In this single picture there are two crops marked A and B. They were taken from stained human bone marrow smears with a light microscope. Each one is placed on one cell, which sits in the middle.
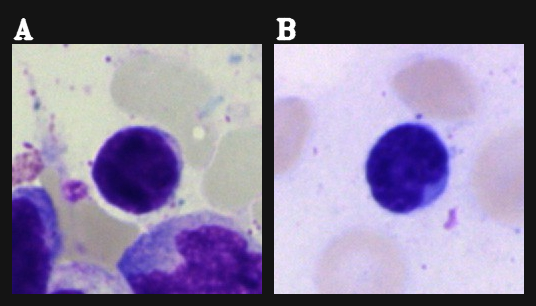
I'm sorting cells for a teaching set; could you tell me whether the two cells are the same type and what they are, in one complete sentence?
Yes, the two crops both show lymphocytes.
